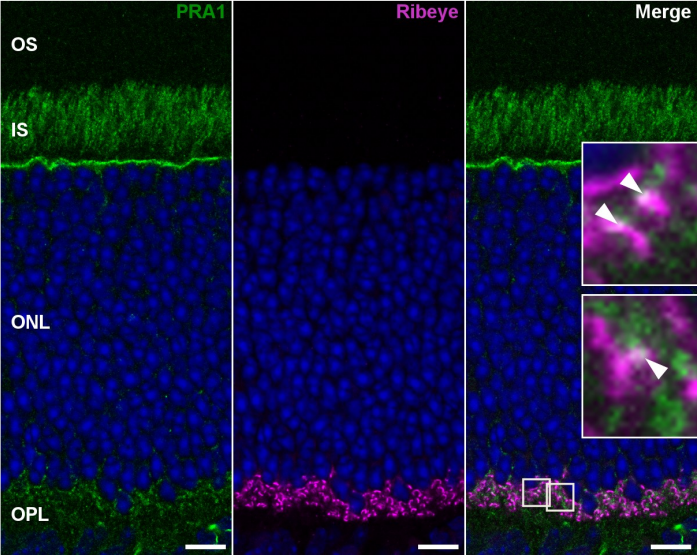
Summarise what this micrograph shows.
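The same layered outer retina is seen: a dark top band, a striated green band with a bright green line at its base, a thick stack of densely packed small round blue nuclei, and a fibrous band at the bottom. Magenta label is confined to this bottom band, where it forms many small curved, crescent-like profiles arranged in a row beneath the nuclei. Green label in the bottom band is finer and more diffuse, lying among the magenta profiles. In the enlarged insets, whitish spots where green meets magenta are marked by arrowheads.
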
